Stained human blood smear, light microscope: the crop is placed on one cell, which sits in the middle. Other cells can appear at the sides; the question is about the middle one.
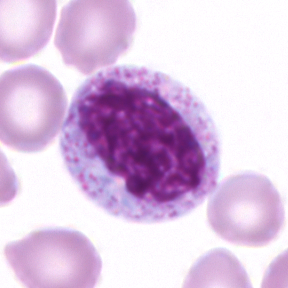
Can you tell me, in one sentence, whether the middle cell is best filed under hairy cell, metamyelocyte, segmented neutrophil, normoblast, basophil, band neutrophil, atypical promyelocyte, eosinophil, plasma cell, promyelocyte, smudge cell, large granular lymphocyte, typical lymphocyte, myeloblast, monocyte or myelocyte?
The cell of interest, located centrally, is a metamyelocyte.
